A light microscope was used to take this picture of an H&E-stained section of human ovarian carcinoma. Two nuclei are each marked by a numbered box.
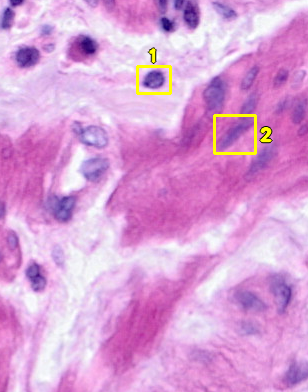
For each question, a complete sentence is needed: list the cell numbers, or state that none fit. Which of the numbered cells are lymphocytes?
Cell 1 is a lymphocyte; the remaining numbered cells are not.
